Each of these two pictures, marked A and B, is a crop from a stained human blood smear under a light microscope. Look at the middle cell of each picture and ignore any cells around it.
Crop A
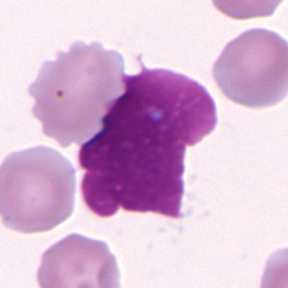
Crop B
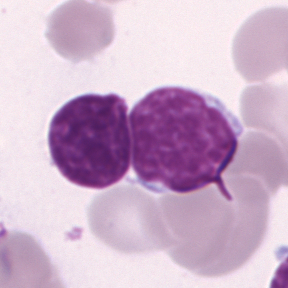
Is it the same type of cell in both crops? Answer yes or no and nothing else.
no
